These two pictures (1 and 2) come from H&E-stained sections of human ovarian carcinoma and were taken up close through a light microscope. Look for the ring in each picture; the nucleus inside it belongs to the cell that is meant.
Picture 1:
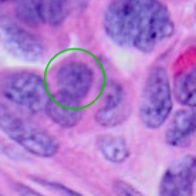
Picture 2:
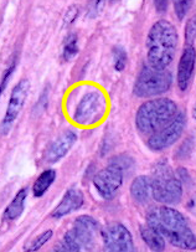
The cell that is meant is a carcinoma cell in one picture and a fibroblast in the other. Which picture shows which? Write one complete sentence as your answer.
It is picture 1 that shows a carcinoma cell, and picture 2 that shows a fibroblast.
